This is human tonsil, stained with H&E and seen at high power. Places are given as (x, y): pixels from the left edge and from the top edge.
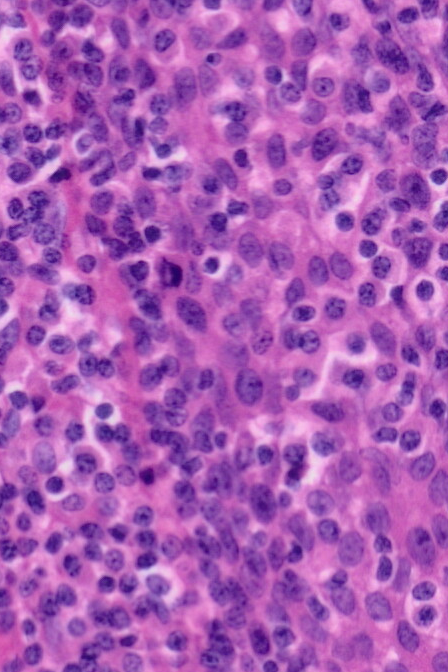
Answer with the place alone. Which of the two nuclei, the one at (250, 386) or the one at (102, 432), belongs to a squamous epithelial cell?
(250, 386)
